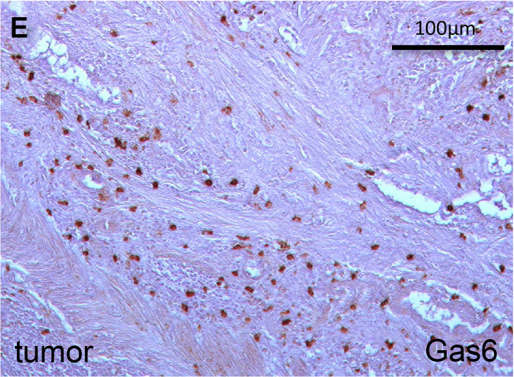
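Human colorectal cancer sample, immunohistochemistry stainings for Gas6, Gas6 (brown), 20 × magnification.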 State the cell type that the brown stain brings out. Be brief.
Infiltrating cells.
